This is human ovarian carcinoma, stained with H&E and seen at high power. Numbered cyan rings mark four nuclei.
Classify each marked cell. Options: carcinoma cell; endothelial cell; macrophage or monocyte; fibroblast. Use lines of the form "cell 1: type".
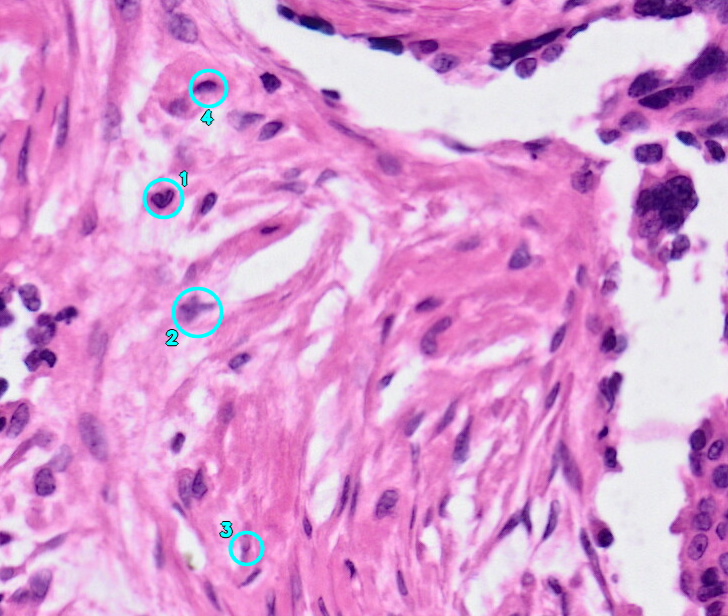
cell 1: macrophage or monocyte
cell 2: fibroblast
cell 3: fibroblast
cell 4: fibroblast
